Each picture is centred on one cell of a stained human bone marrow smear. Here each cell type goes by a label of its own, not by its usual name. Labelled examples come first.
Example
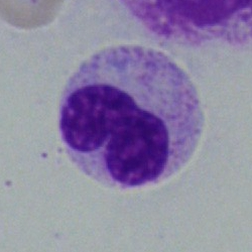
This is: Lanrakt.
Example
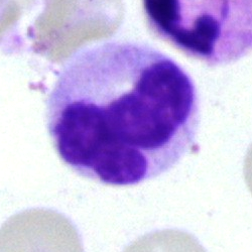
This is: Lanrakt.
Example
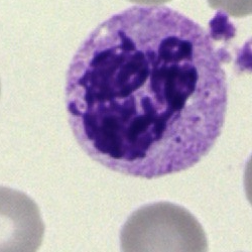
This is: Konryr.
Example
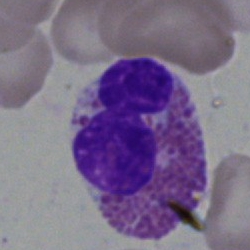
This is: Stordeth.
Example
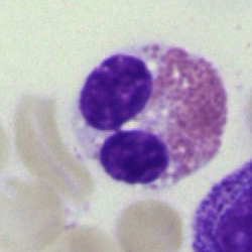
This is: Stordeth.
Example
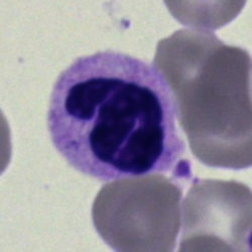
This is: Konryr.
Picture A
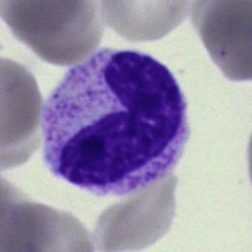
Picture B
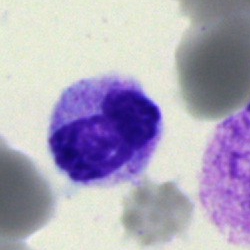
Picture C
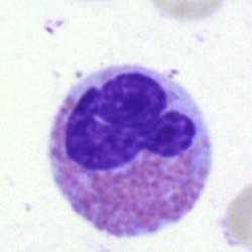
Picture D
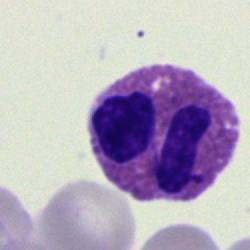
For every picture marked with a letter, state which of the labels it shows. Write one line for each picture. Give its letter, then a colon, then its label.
A: Lanrakt.
B: Lanrakt.
C: Stordeth.
D: Stordeth.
